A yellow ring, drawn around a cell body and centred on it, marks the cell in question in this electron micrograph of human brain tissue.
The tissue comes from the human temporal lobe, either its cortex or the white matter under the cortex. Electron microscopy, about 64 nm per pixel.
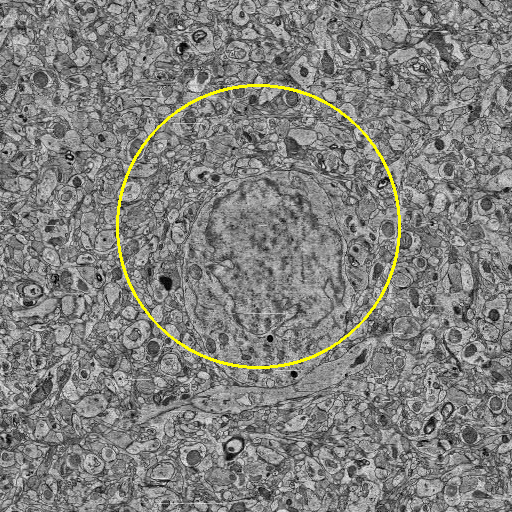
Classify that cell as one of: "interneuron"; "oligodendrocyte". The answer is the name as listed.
interneuron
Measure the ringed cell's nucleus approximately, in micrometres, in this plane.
Roughly 11 by 8 micrometres is the size of the nucleus in this plane.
